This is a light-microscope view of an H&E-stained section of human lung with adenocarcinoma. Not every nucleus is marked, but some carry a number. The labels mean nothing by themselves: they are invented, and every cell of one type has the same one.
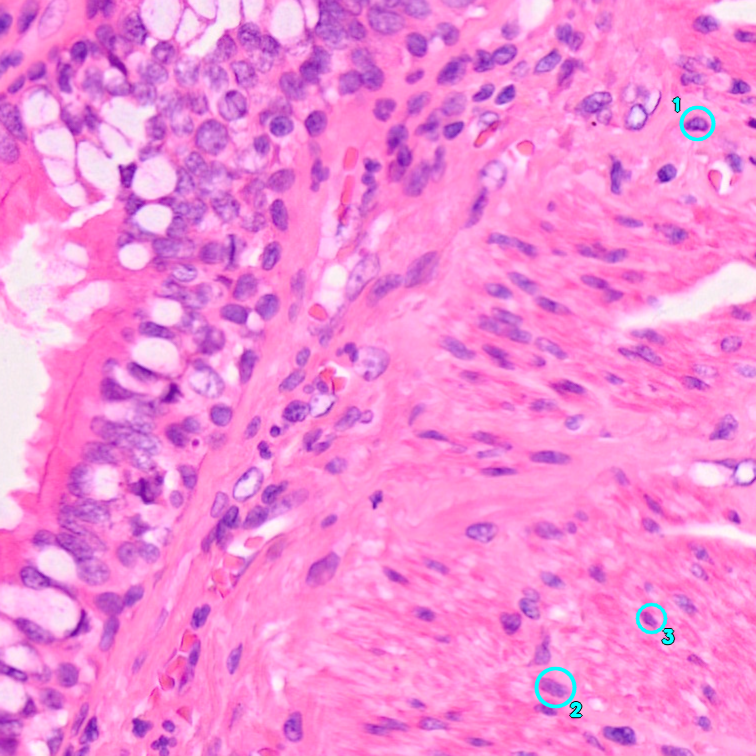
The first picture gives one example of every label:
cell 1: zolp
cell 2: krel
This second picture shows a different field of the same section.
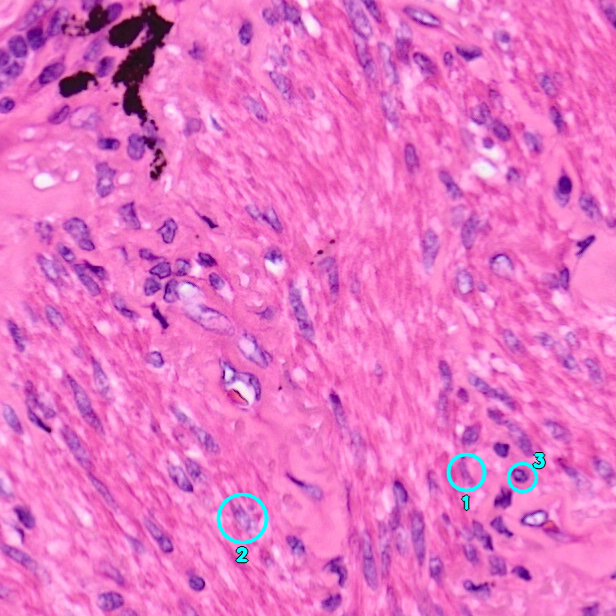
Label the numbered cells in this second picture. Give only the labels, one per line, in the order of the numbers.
krel
krel
zolp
